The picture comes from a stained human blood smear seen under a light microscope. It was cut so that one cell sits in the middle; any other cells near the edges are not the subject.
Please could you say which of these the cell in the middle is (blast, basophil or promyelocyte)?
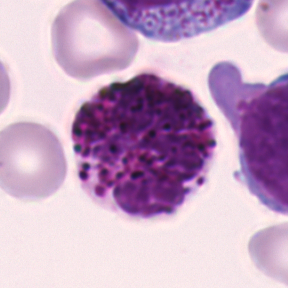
basophil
